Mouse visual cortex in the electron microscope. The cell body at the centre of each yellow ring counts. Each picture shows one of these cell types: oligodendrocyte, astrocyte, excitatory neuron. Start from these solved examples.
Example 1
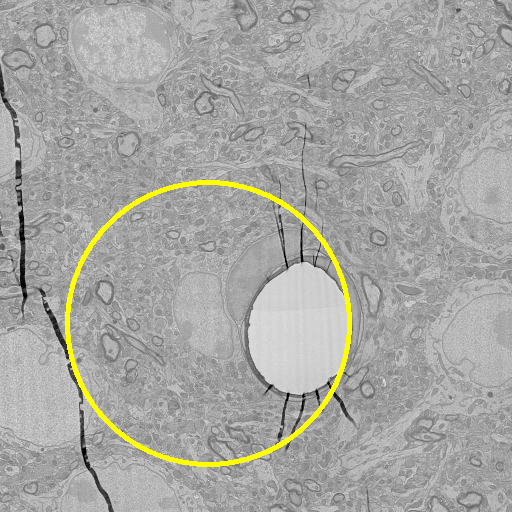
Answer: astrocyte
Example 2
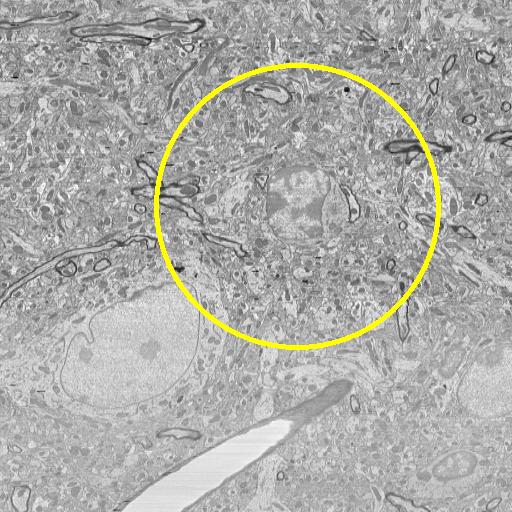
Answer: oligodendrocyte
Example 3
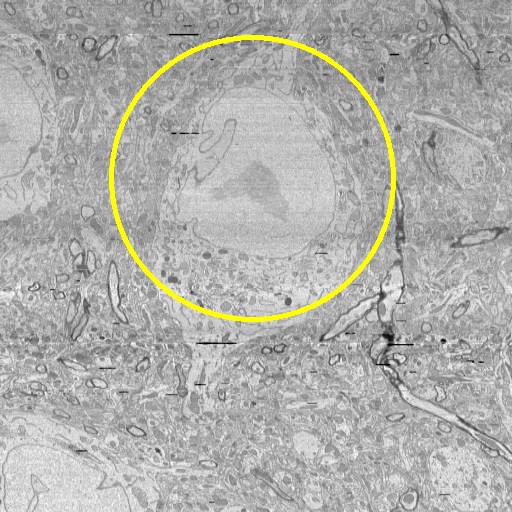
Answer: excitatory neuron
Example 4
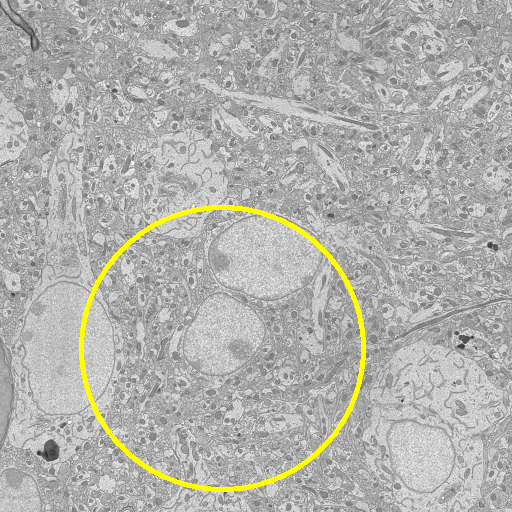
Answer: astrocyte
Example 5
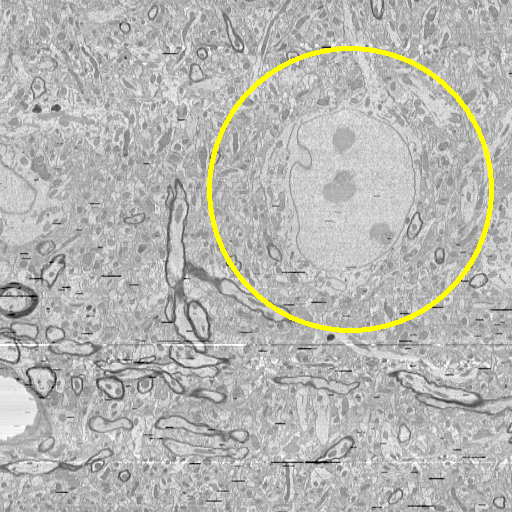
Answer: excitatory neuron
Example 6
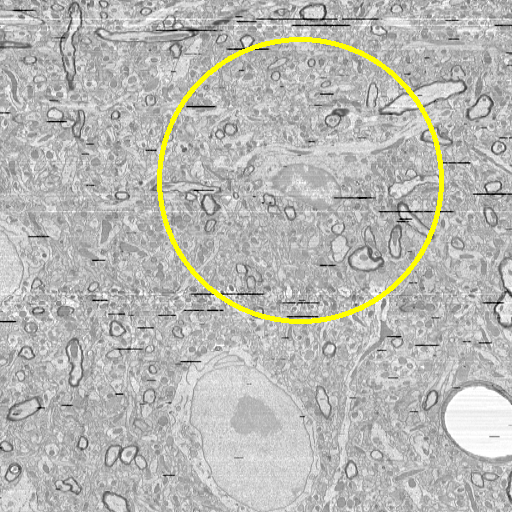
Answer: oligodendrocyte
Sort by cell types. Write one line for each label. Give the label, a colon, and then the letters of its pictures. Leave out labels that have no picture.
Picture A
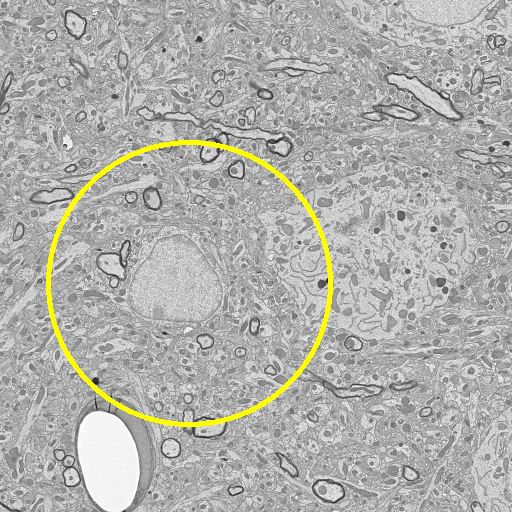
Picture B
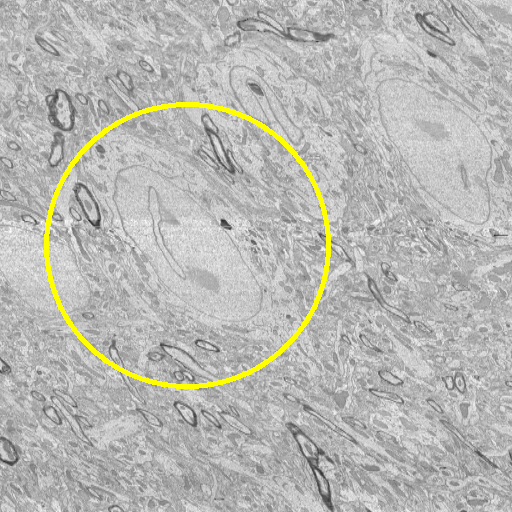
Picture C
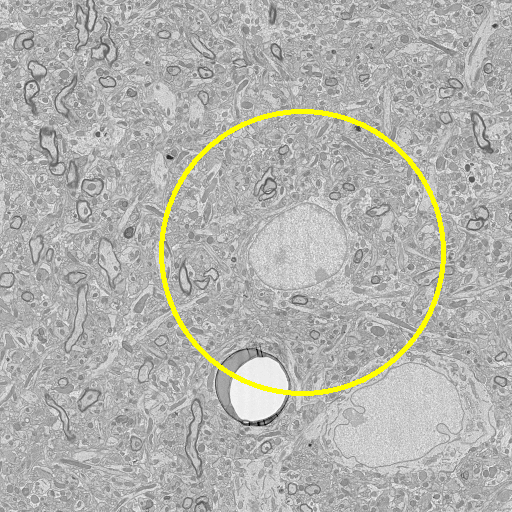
astrocyte: A, C
excitatory neuron: B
